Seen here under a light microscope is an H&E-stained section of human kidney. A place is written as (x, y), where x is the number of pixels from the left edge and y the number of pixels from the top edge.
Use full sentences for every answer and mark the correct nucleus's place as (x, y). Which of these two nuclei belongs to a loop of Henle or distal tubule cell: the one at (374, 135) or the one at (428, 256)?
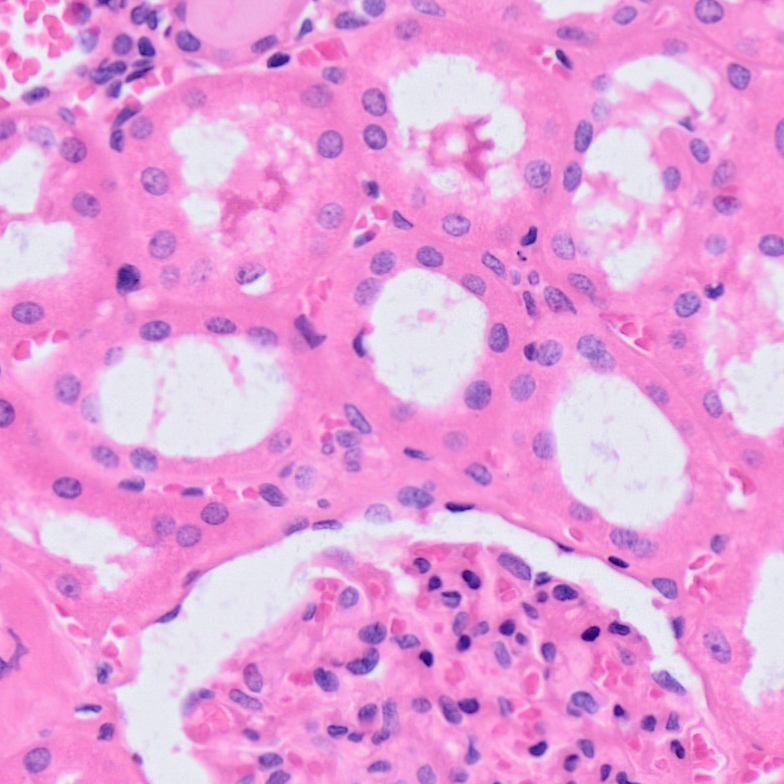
As for which of the two, the nucleus at (428, 256) belongs to a loop of Henle or distal tubule cell.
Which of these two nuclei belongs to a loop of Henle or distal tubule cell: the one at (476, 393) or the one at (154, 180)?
The nucleus at (476, 393) is part of a loop of Henle or distal tubule cell, while the other is not.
